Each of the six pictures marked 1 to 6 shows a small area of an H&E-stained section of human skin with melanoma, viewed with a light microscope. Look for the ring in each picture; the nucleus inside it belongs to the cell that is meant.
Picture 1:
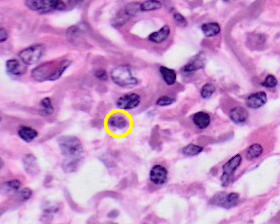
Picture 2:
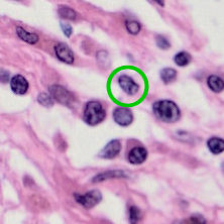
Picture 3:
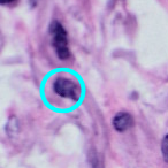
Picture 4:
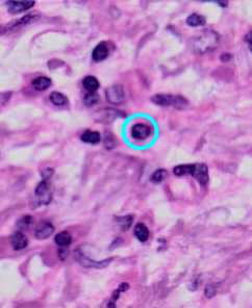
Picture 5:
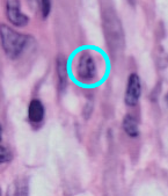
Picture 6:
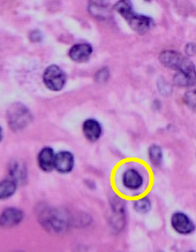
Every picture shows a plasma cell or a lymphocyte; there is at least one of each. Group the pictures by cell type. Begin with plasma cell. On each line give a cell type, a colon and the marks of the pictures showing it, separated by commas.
plasma cell: 1, 3, 4, 5
lymphocyte: 2, 6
